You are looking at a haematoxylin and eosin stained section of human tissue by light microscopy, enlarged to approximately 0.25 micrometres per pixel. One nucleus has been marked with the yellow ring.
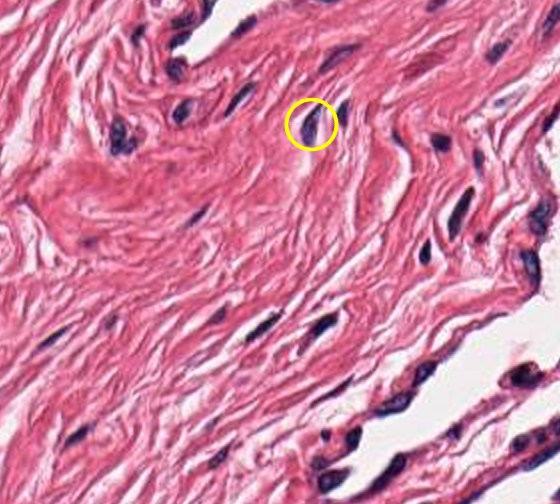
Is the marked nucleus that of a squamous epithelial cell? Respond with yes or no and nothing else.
no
